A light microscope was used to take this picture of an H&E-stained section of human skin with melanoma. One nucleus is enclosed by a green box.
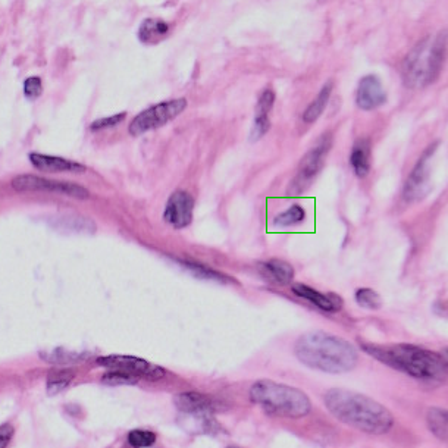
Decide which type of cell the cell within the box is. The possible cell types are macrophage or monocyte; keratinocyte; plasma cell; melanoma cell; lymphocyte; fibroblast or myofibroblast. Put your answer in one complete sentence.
In the stained section, the cell within the box is a lymphocyte.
